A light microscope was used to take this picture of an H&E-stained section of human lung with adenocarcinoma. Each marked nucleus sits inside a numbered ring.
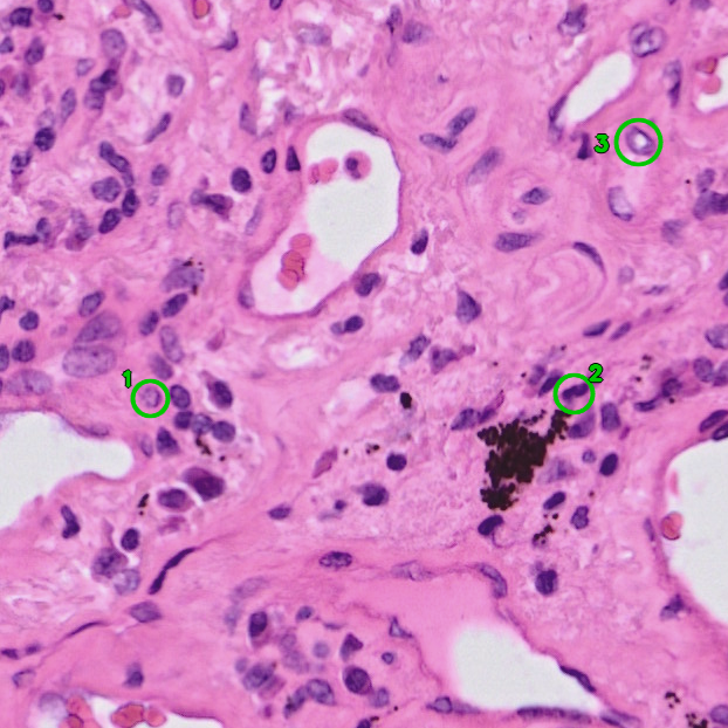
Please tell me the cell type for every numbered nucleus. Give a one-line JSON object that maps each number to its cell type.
{"1": "mast cell", "2": "plasma cell", "3": "endothelial cell"}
